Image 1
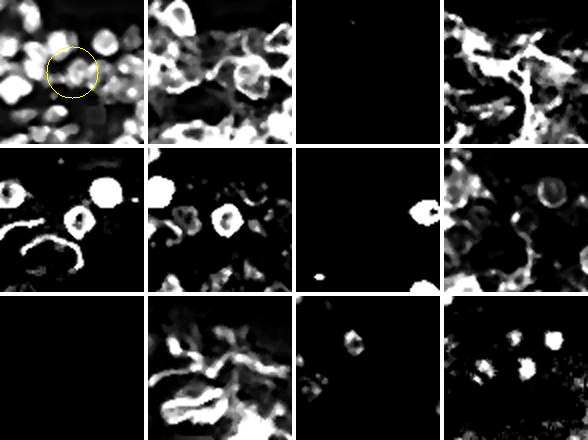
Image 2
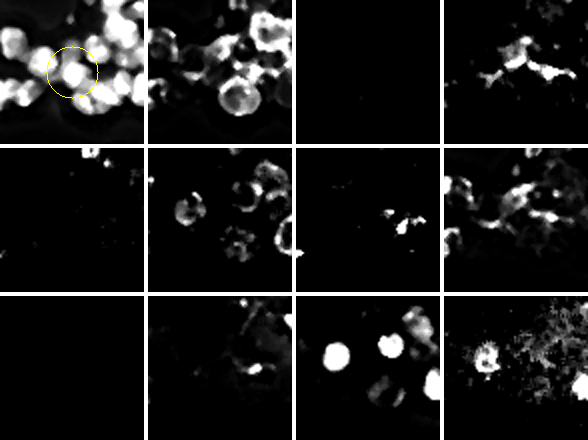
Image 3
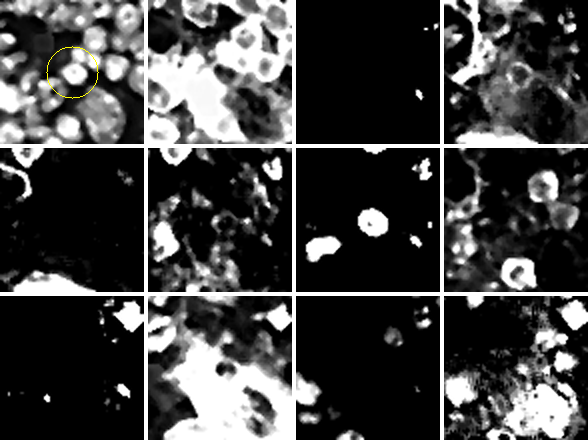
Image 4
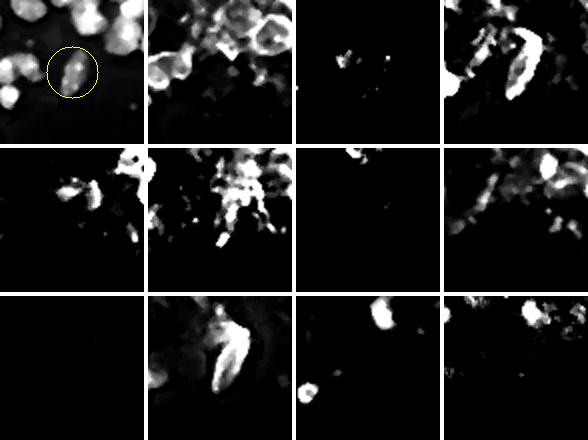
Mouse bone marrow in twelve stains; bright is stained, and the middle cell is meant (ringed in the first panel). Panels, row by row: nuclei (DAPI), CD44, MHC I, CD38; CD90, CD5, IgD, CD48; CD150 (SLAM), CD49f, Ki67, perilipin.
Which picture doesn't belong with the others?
Picture 3.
